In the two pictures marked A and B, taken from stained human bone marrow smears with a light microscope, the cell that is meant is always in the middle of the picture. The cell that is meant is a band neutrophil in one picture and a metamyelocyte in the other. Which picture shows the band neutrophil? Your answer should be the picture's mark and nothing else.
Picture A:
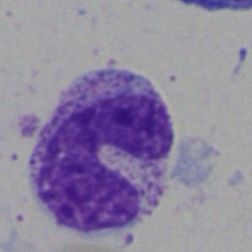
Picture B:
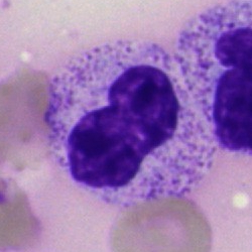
A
